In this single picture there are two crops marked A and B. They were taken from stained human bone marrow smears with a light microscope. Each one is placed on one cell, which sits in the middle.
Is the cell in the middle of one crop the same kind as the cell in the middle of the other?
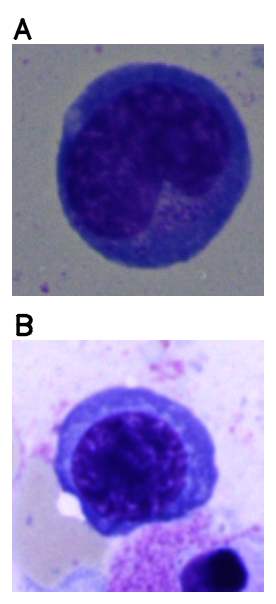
no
